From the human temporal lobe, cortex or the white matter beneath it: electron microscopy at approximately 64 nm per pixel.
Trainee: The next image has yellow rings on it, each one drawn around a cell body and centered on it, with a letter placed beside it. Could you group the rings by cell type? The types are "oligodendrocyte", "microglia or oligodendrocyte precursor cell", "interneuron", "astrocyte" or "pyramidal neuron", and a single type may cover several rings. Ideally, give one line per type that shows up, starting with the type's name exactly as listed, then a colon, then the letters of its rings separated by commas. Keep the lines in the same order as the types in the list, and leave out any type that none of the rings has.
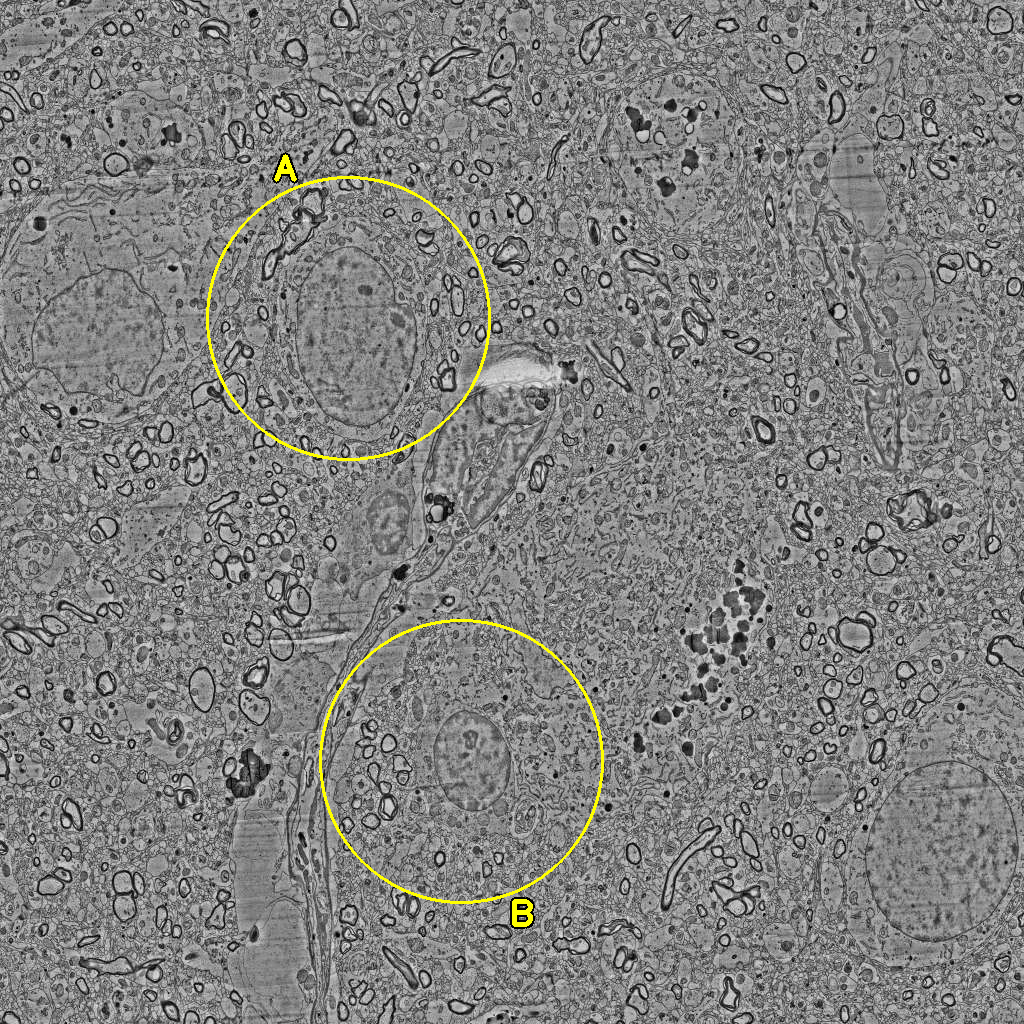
oligodendrocyte: B
interneuron: A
